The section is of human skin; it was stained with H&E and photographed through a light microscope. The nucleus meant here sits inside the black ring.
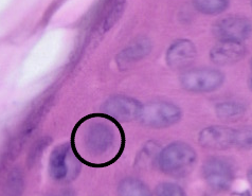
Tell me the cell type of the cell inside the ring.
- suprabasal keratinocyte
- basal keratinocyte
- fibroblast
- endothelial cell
suprabasal keratinocyte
